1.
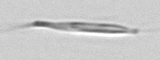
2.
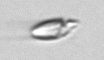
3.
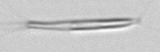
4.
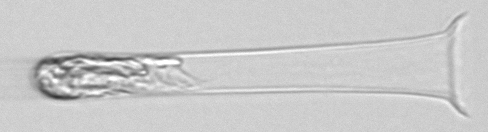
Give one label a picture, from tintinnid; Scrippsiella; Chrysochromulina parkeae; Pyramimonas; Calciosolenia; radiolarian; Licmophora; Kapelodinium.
(1) Calciosolenia
(2) Kapelodinium
(3) Calciosolenia
(4) tintinnid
